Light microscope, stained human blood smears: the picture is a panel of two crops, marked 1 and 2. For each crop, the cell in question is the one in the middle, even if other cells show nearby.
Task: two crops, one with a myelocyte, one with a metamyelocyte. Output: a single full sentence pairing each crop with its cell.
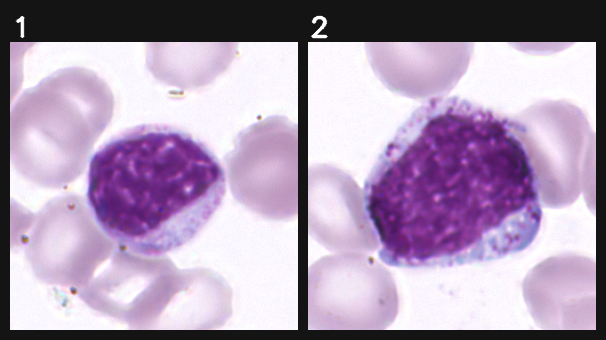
Crop 1 contains a metamyelocyte, and crop 2 contains a myelocyte.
